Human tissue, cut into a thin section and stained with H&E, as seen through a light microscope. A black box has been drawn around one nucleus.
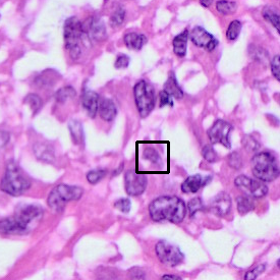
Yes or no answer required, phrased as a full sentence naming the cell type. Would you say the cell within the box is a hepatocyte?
No, the cell within the box is classed as a melanoma cell, not a hepatocyte.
